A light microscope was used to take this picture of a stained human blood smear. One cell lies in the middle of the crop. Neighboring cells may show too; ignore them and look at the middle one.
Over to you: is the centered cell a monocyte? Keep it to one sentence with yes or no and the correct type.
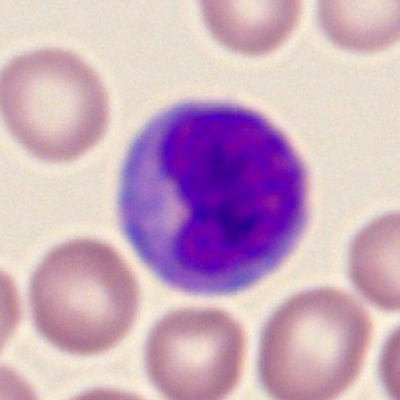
Yes, the cell at the centre is designated a monocyte.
